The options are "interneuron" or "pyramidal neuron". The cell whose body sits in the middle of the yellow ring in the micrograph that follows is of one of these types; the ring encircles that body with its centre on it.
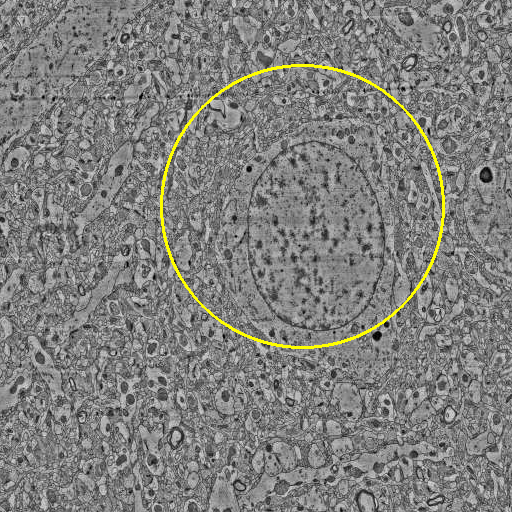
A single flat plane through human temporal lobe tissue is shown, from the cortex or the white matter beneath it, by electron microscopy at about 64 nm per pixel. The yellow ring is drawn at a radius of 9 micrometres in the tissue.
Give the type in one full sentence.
Going by the micrograph, the cell centred in the yellow ring is a pyramidal neuron.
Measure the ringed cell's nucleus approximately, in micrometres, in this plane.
The nucleus has a long axis of about 12 micrometres and a short axis of about 9 micrometres in this plane.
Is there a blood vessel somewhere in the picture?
No.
